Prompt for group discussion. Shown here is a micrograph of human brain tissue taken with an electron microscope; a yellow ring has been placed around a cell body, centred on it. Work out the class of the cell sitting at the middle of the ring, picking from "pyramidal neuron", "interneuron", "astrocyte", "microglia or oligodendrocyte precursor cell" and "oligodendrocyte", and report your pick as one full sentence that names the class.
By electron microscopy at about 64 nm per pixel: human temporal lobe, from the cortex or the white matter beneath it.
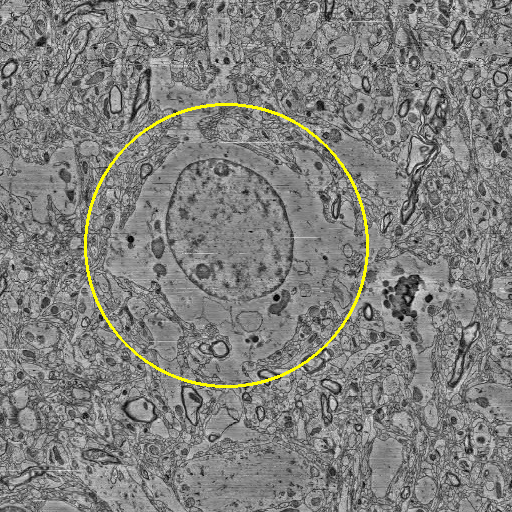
The cell sitting at the middle of the yellow ring is an astrocyte.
